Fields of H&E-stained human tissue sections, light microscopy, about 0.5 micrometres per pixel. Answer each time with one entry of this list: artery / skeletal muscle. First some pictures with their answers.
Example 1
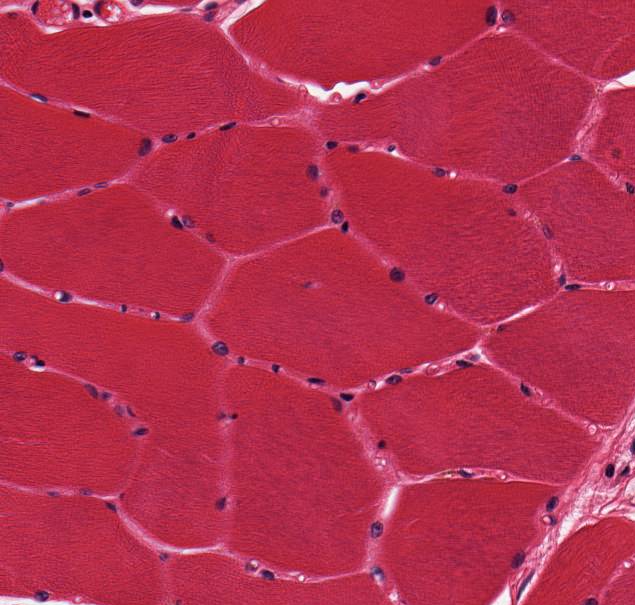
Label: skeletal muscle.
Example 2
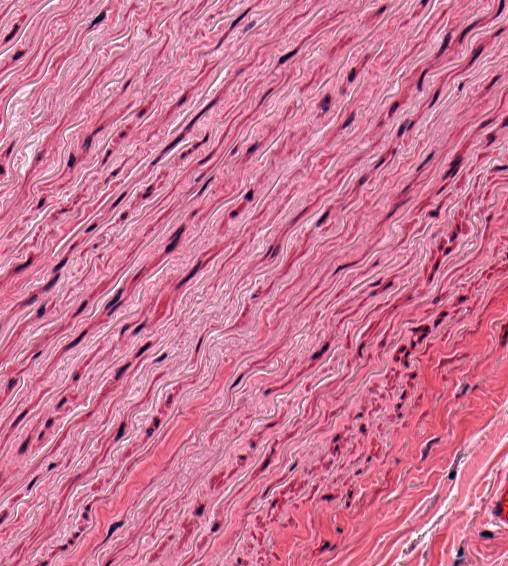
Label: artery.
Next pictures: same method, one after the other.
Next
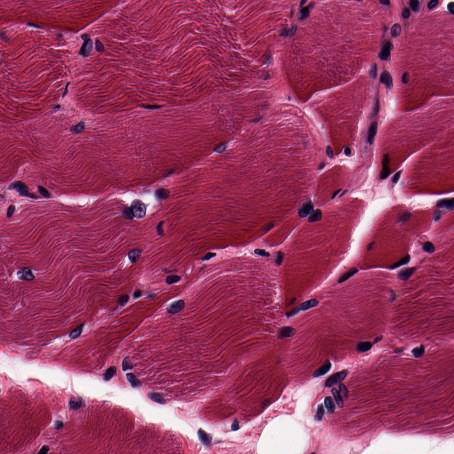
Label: skeletal muscle.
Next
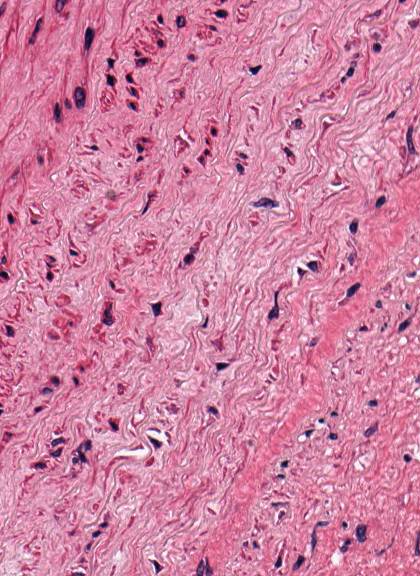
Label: artery.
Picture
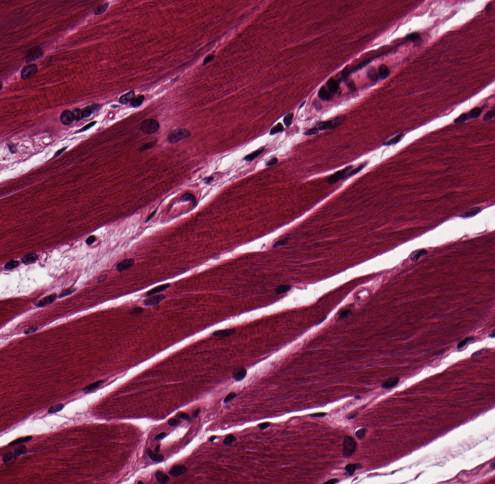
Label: skeletal muscle.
